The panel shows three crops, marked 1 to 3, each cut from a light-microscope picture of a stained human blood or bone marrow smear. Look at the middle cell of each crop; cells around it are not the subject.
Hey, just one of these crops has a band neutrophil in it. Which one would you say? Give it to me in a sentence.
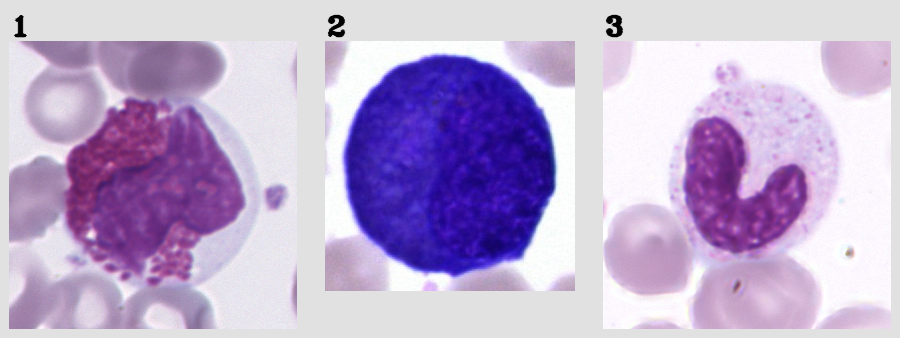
Crop 3 is the crop that displays a band neutrophil.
